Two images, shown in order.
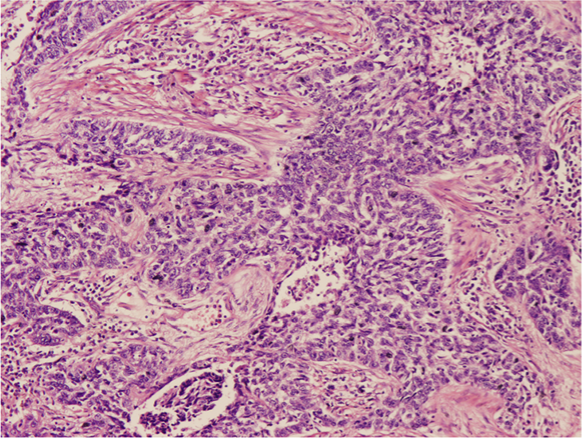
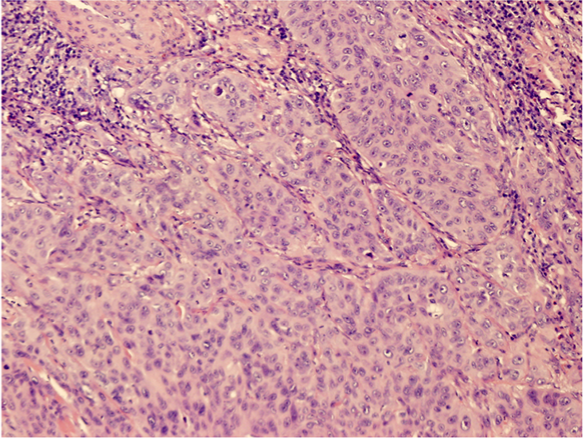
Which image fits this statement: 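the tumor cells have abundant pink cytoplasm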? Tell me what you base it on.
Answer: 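The second image. First image: tumor cells are crowded with scant cytoplasm and the field looks purple. Second image: tumor cells are large and polygonal with wide pink cytoplasm.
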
